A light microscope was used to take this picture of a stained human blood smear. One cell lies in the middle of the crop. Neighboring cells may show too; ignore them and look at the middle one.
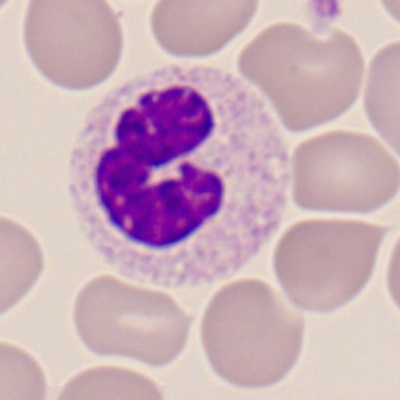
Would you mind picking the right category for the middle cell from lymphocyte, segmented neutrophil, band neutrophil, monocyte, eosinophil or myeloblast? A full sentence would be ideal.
As for the central cell, it is a band neutrophil.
